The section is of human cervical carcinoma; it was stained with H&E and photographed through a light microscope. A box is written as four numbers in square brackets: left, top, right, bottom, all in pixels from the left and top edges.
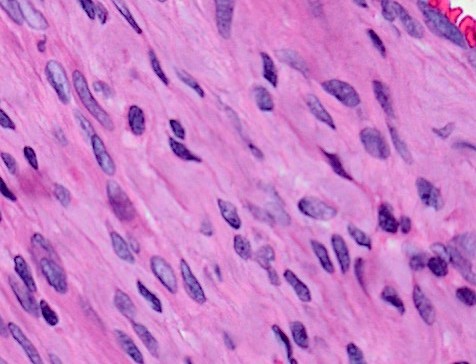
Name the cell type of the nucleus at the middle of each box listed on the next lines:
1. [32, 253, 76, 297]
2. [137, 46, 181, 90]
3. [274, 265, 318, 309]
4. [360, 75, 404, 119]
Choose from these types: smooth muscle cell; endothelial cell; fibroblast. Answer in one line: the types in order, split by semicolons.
endothelial cell; fibroblast; fibroblast; fibroblast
